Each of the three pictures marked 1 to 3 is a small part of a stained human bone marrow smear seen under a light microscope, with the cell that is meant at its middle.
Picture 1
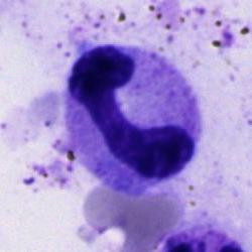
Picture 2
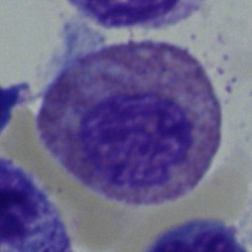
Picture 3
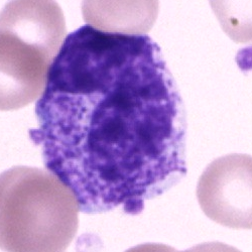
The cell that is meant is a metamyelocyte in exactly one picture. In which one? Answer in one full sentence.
It is picture 3 that shows the metamyelocyte.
